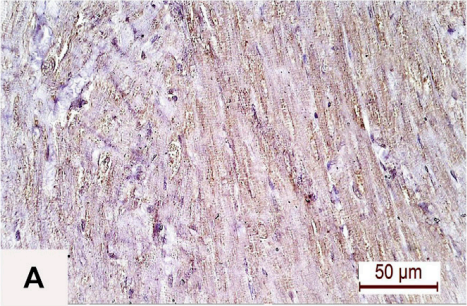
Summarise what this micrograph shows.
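Cardiac muscle fibers run in long, parallel, gently branching bands across the field, stained only a pale pinkish-beige with faint brownish granularity. A faint striated texture can be made out along the fibers.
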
